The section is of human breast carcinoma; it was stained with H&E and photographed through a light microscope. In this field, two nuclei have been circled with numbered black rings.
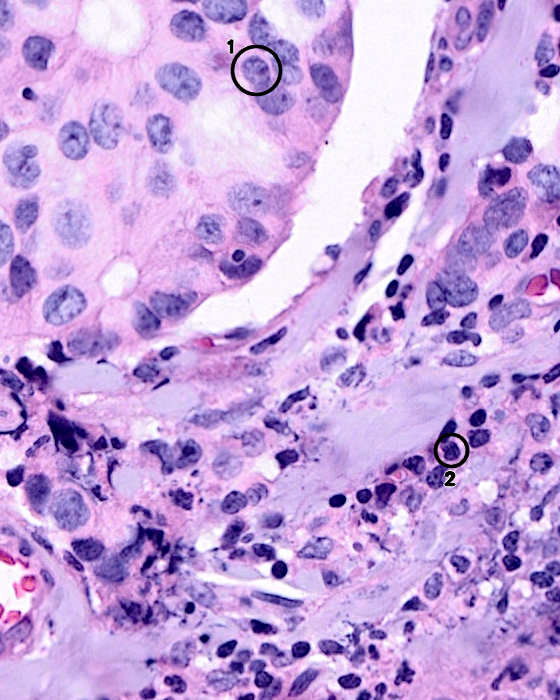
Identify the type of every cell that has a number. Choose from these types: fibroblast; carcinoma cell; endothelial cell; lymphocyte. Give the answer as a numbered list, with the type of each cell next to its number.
1. carcinoma cell
2. lymphocyte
